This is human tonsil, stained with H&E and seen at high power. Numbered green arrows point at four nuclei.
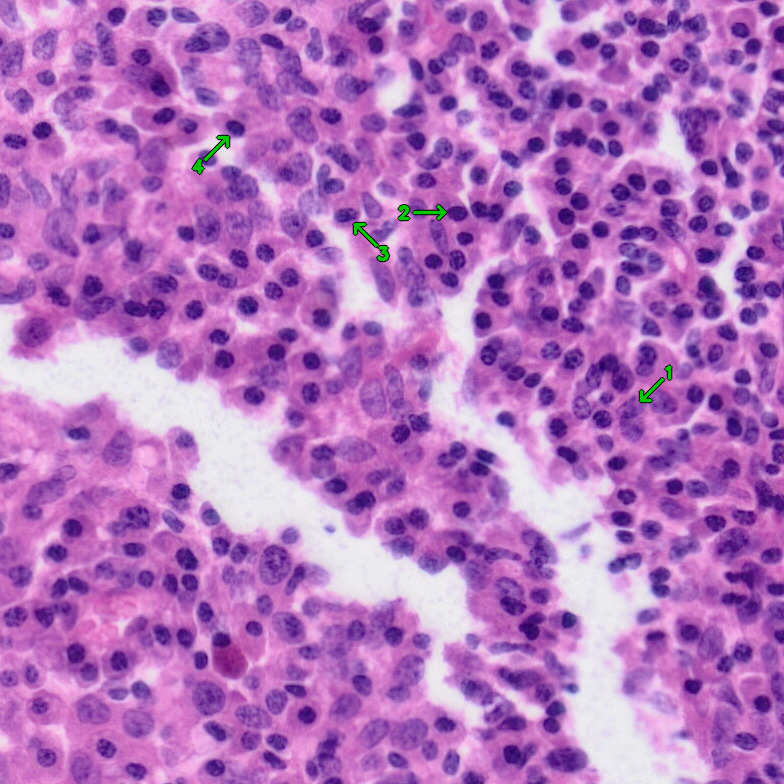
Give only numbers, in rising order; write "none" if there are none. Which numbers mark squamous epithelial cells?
1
